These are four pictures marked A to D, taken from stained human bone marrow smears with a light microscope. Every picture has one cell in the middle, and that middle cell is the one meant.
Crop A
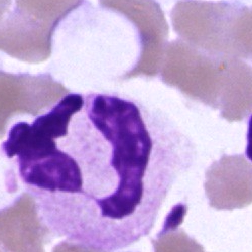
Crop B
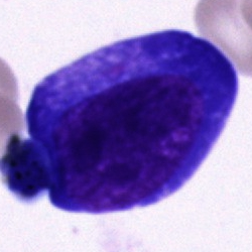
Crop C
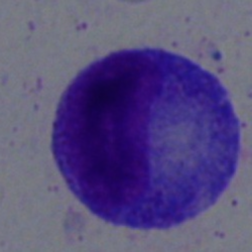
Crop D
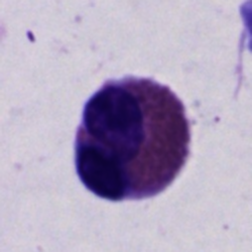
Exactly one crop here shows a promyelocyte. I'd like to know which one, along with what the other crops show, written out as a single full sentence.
Crop C is showing a promyelocyte, while crop A is a neutrophil, crop B is a proerythroblast and crop D is an eosinophil.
